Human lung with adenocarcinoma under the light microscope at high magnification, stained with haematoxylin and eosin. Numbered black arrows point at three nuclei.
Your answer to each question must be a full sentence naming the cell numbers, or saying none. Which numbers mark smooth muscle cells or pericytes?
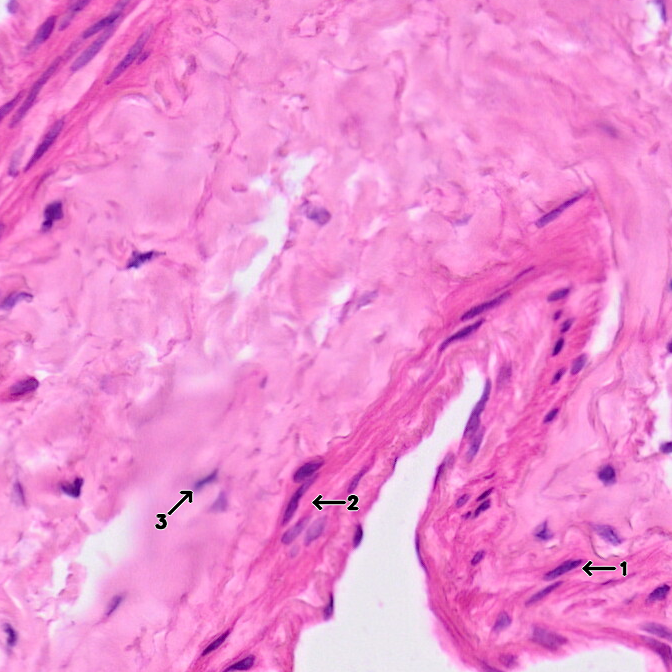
The cells tagged 1 and 2 are smooth muscle cells or pericytes in this tissue section.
